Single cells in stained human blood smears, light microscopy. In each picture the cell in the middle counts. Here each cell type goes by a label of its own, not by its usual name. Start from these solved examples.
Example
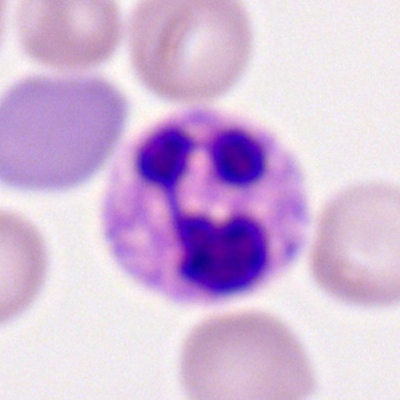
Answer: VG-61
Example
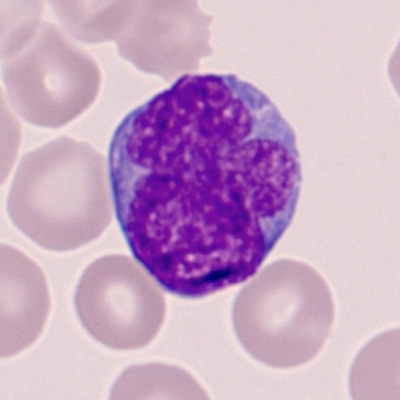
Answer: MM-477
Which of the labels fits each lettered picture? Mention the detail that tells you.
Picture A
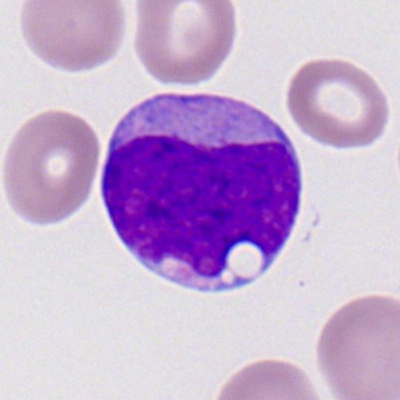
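MM-477. The nucleus fills most of the cell.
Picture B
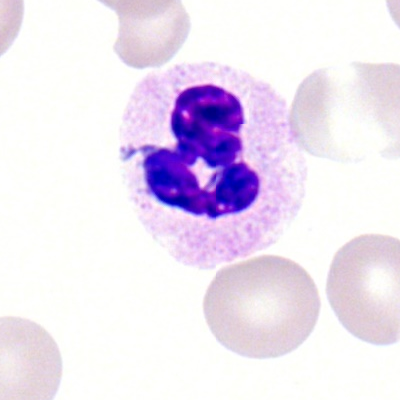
VG-61. The cytoplasm is abundant and pale pink.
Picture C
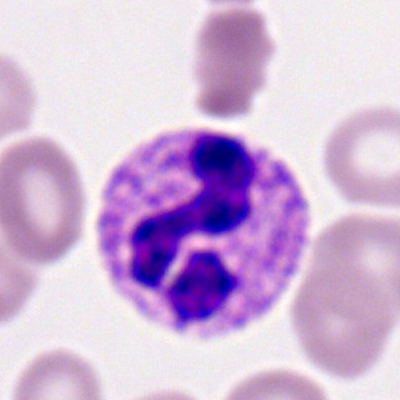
VG-61. The cytoplasm is abundant and pale pinkish-lilac.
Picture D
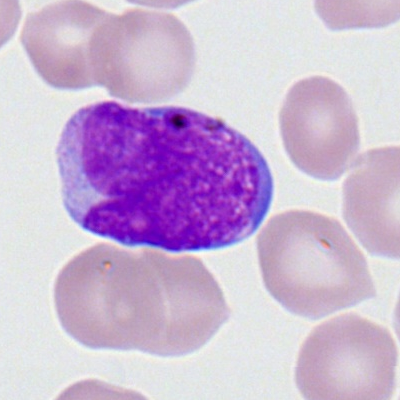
MM-477. The nucleus fills most of the cell and has a shallow notch on its left side.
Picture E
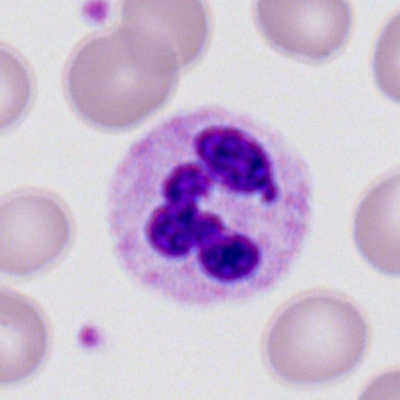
VG-61. The cytoplasm is plentiful and pale pinkish-lilac.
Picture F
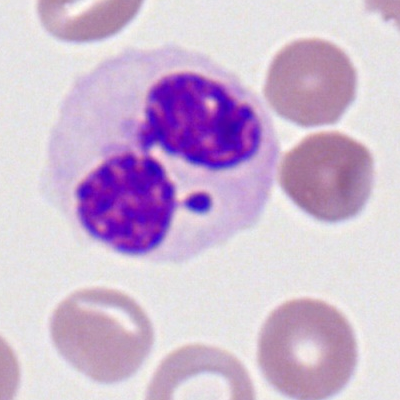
VG-61. The cytoplasm is plentiful and pale pinkish-lilac.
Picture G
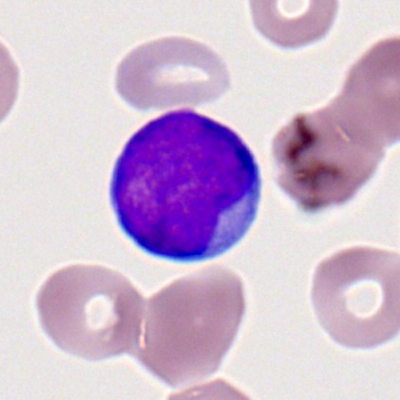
MM-477. The cytoplasm is scant, seen mainly as a thin crescent at the lower right.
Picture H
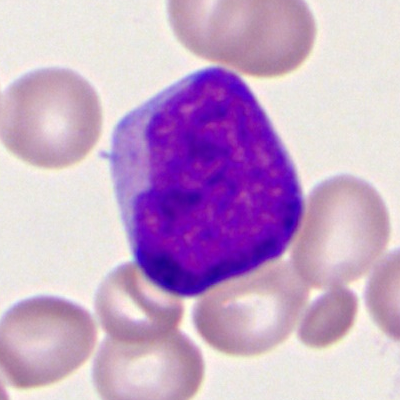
MM-477. The cytoplasm is a scant pale blue-grey rim, widest on the left side of the cell.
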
